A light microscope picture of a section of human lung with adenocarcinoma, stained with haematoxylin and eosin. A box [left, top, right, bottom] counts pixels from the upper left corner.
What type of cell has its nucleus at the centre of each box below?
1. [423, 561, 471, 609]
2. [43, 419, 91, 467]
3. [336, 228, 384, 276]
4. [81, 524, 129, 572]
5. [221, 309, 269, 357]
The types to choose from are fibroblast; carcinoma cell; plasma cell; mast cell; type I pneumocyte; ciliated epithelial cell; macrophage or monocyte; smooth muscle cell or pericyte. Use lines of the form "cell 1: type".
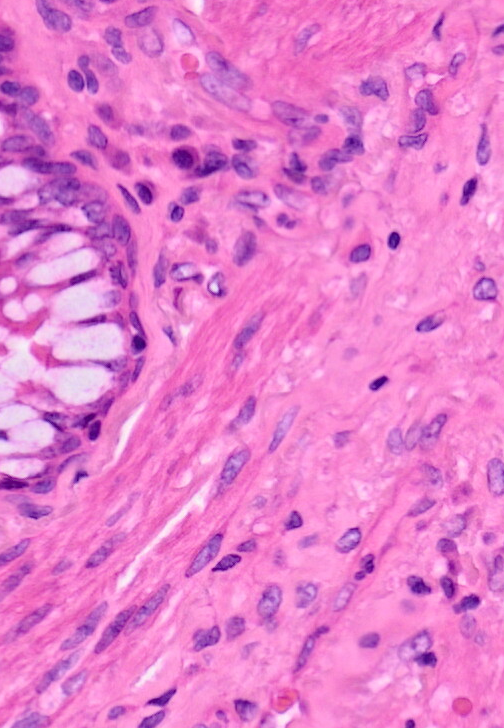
cell 1: plasma cell
cell 2: ciliated epithelial cell
cell 3: mast cell
cell 4: smooth muscle cell or pericyte
cell 5: smooth muscle cell or pericyte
